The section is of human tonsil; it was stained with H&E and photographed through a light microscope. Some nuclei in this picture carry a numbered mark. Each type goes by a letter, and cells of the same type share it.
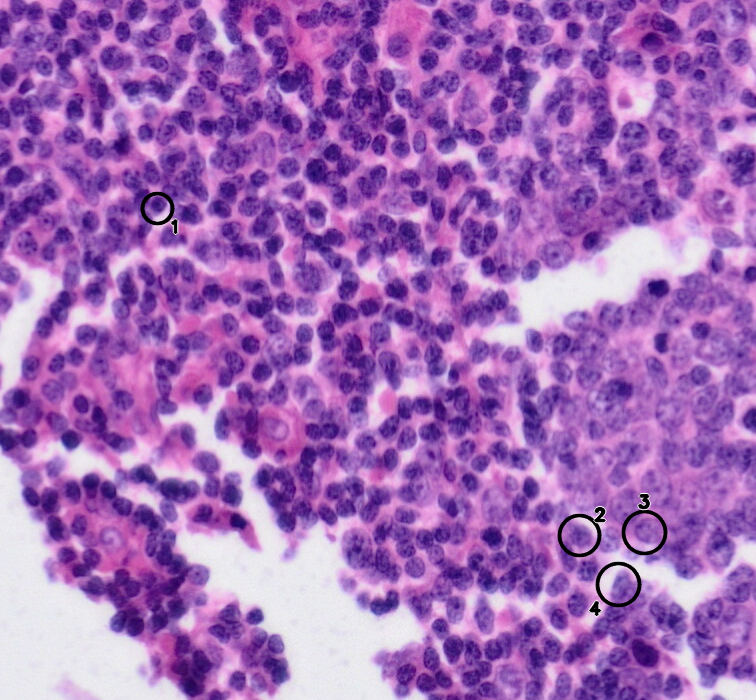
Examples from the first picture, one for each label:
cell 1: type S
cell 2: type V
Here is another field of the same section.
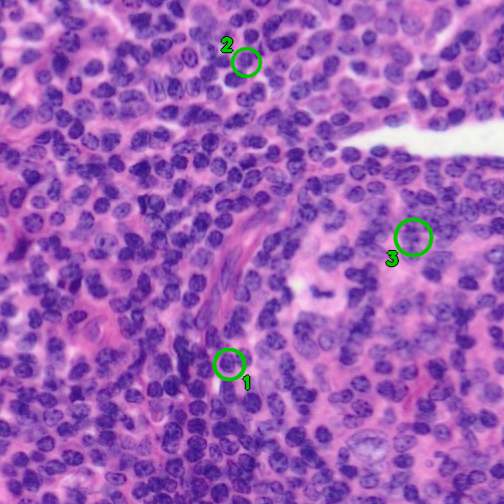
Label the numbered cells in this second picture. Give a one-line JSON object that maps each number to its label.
{"1": "type S", "2": "type S", "3": "type V"}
